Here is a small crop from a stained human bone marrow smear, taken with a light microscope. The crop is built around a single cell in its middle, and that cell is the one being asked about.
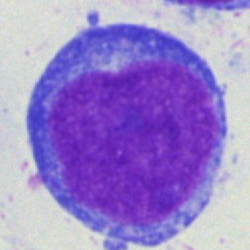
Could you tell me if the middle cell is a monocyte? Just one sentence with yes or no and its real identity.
No, the central cell is properly termed a blast, not a monocyte.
